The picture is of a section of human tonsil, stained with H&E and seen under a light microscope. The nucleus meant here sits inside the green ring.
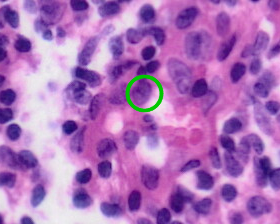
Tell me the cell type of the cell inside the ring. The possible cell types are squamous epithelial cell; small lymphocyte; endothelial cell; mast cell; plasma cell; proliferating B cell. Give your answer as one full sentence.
In terms of identity, the cell inside the ring is an endothelial cell.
